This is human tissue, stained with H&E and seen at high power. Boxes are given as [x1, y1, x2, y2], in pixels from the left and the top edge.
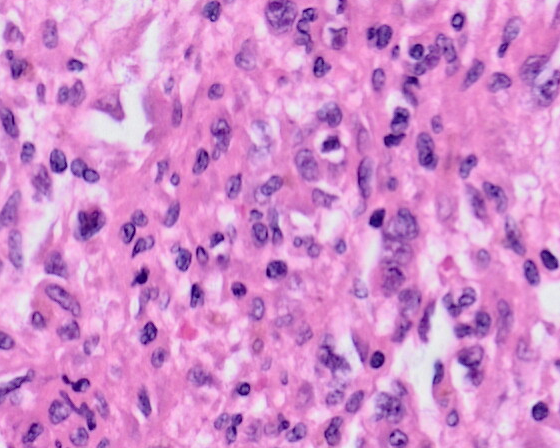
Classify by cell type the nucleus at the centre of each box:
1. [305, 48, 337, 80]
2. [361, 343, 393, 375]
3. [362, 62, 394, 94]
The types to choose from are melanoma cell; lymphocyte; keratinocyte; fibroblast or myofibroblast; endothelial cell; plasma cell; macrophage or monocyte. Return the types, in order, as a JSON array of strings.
["macrophage or monocyte", "lymphocyte", "macrophage or monocyte"]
